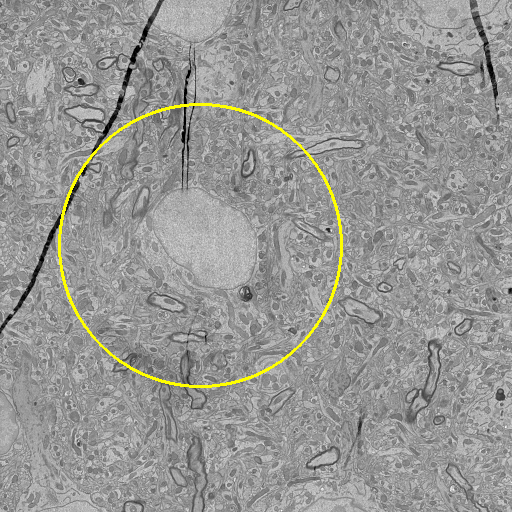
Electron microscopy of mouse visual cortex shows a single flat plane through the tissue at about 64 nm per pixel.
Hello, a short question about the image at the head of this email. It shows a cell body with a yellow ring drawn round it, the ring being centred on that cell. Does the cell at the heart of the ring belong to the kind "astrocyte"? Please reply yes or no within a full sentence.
Yes, the cell at the heart of the ring in that image is of that kind.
